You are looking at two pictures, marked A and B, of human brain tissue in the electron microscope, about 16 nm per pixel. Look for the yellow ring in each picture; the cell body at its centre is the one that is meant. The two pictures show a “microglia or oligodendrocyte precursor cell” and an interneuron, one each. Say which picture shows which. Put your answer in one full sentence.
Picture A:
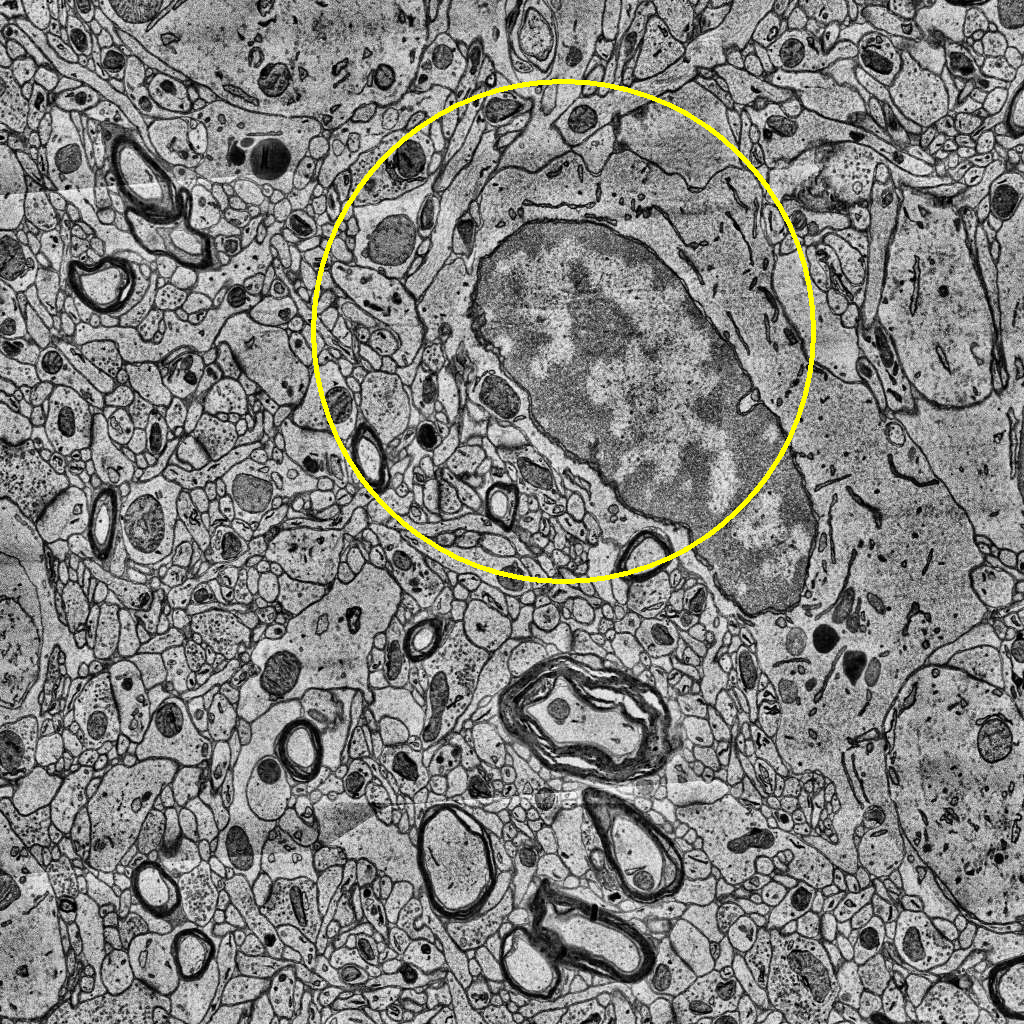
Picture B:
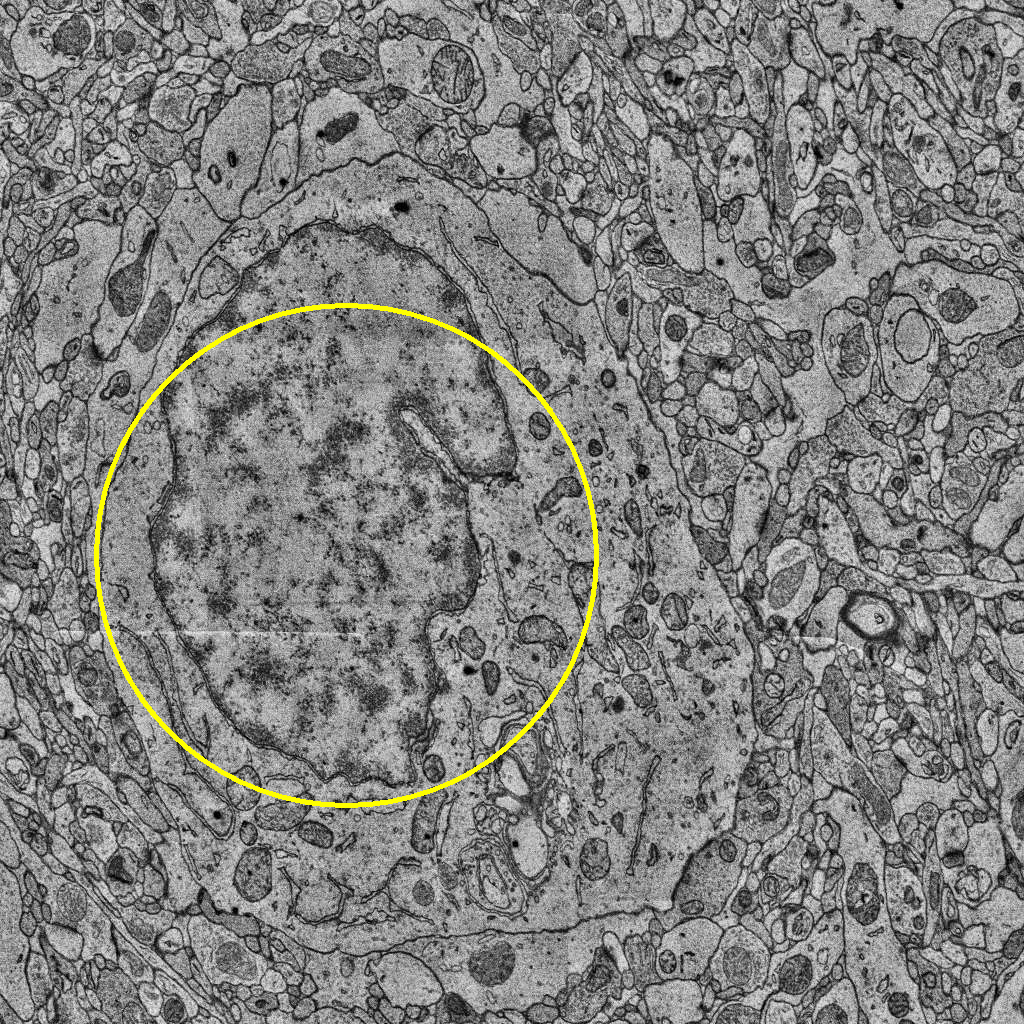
The cell in picture A is a “microglia or oligodendrocyte precursor cell”, and the one in picture B is an interneuron.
